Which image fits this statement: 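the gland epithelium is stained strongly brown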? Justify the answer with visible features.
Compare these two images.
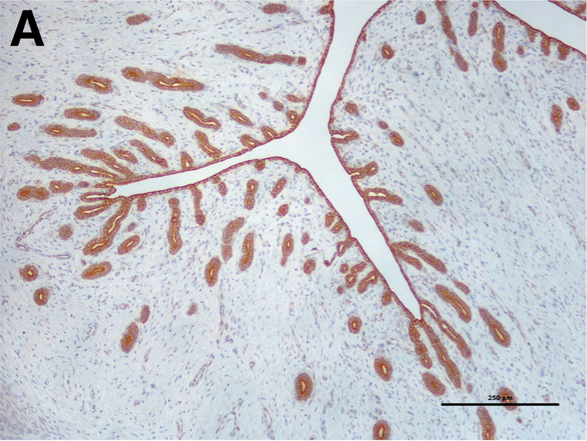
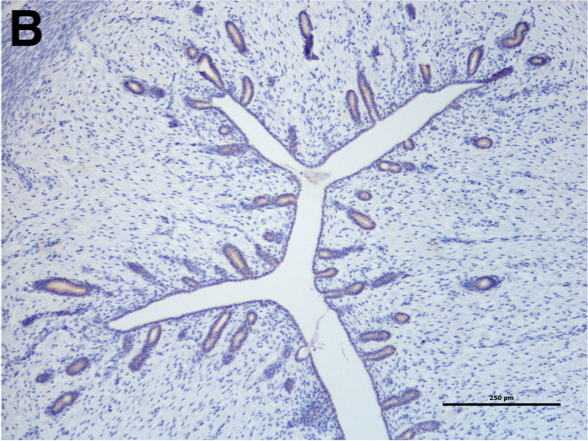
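Second image: the glands and luminal lining are mostly blue with only faint pale brown inside. First image: the glands and luminal lining are deep brown throughout. The answer: the first image.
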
